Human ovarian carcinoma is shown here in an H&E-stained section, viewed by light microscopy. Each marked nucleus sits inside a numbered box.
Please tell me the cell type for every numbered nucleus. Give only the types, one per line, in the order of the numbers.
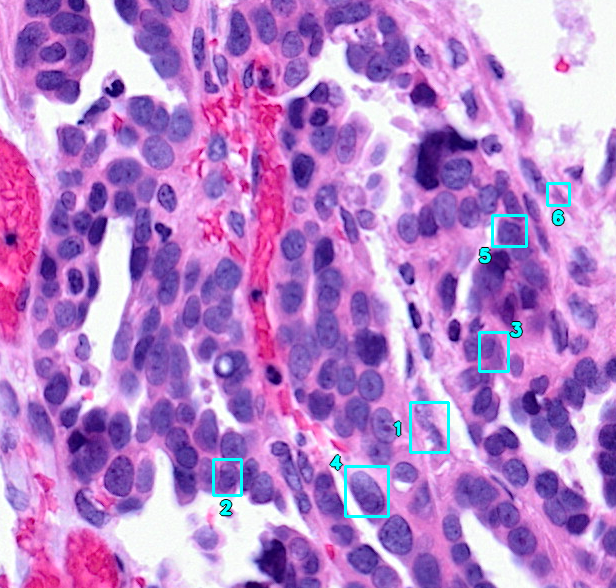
fibroblast
carcinoma cell
carcinoma cell
carcinoma cell
carcinoma cell
fibroblast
